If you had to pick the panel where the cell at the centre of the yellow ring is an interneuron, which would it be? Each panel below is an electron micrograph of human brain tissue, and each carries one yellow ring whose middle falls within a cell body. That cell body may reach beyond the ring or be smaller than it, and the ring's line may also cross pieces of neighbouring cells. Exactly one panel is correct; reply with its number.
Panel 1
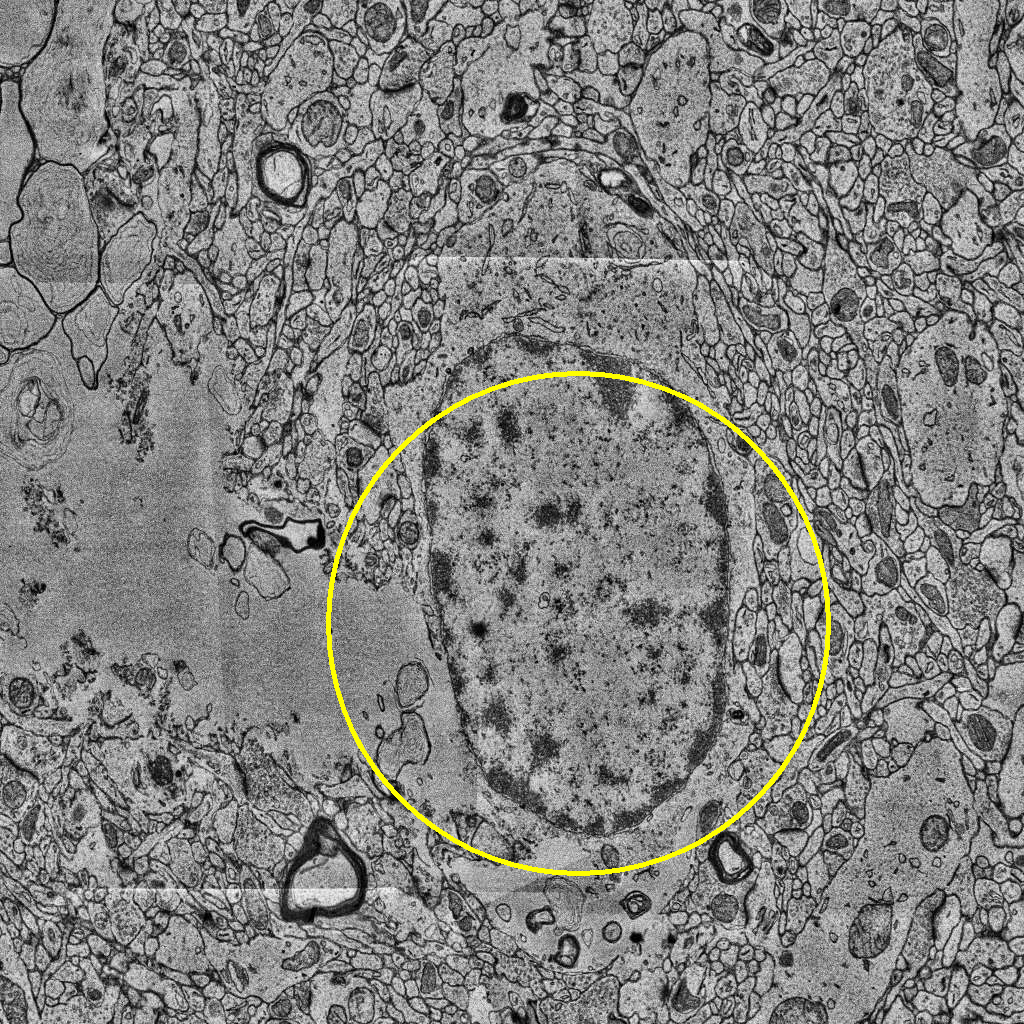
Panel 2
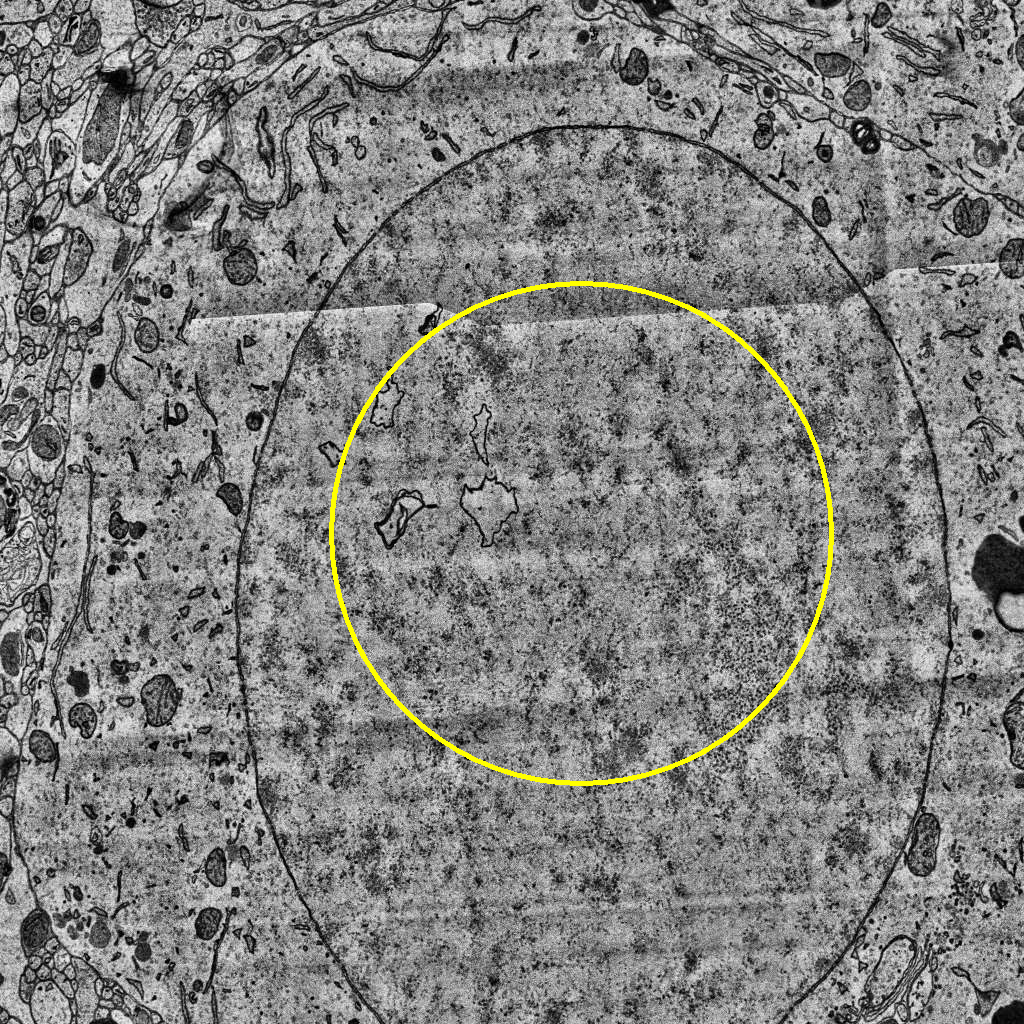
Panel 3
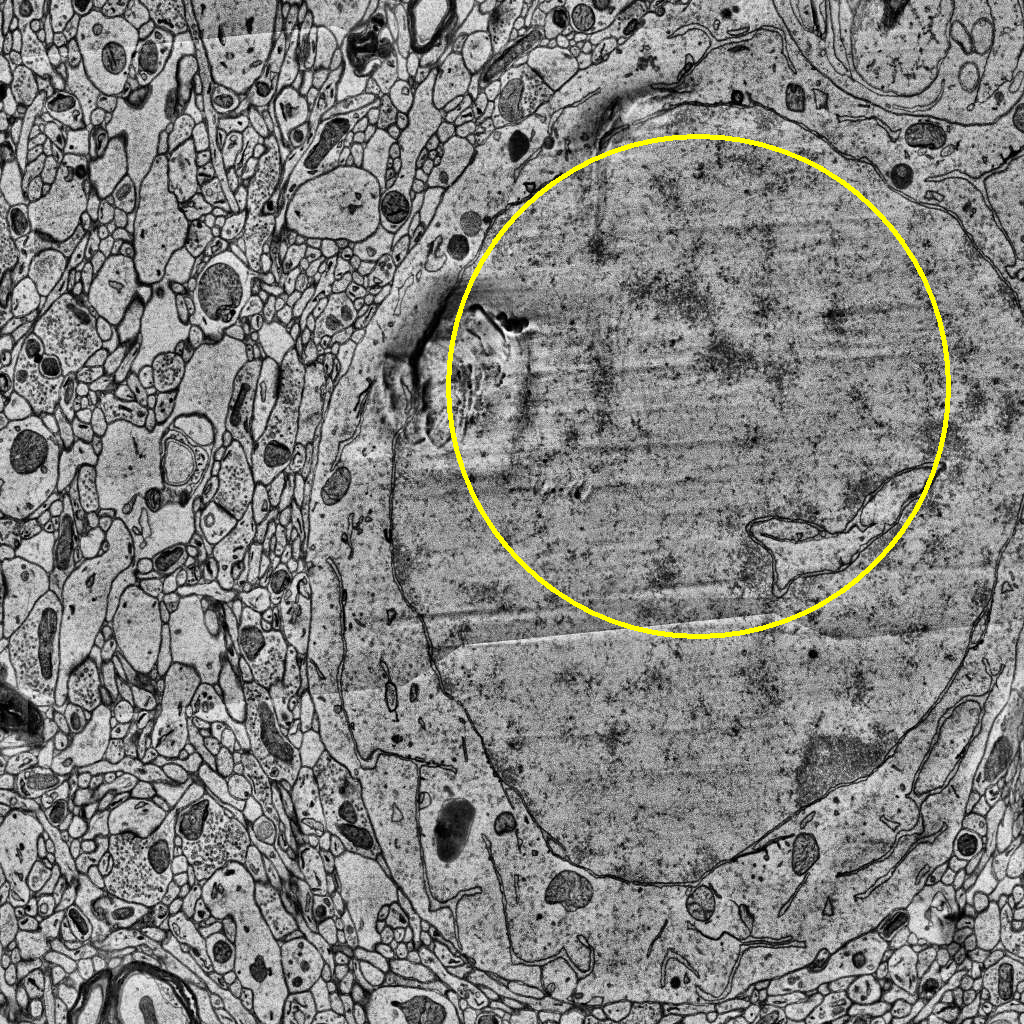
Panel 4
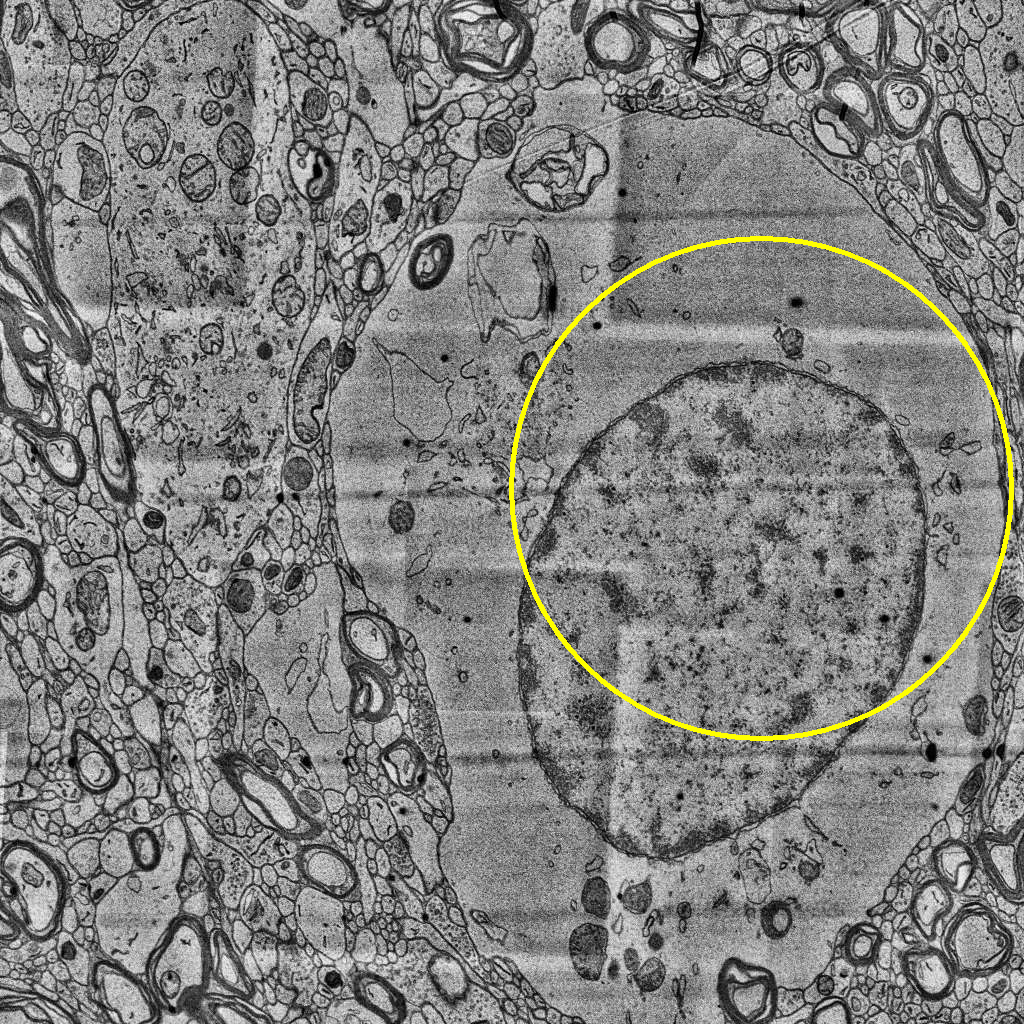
3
